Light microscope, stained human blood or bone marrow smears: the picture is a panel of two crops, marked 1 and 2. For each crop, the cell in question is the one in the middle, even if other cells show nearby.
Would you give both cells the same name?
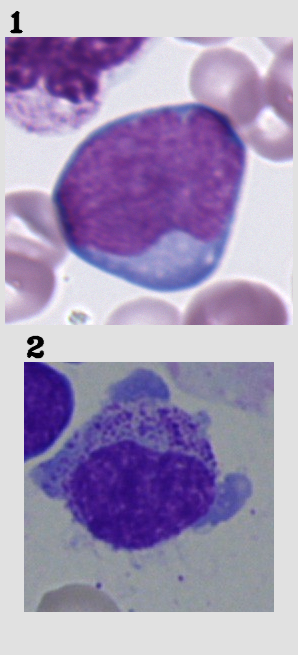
no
